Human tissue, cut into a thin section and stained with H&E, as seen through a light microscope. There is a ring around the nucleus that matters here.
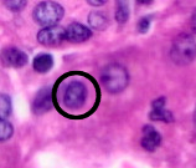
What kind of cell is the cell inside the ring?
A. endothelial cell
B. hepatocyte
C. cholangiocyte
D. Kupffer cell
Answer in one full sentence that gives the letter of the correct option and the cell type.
In the section, the cell inside the ring is a cholangiocyte, and option C is correct accordingly.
